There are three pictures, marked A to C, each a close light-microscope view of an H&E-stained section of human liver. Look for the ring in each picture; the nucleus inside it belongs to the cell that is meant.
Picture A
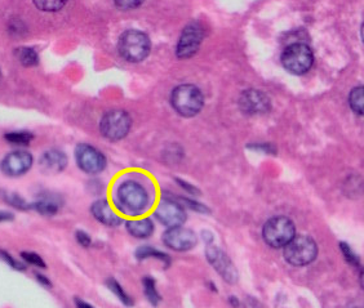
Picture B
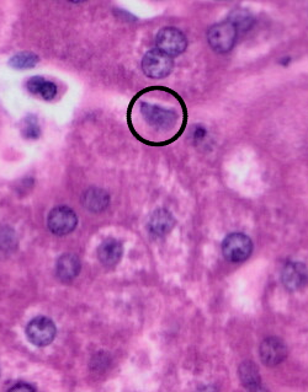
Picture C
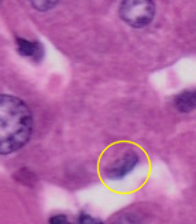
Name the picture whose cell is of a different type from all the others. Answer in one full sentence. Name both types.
The different one is picture A; it shows a cholangiocyte, whereas all the others show endothelial cells.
